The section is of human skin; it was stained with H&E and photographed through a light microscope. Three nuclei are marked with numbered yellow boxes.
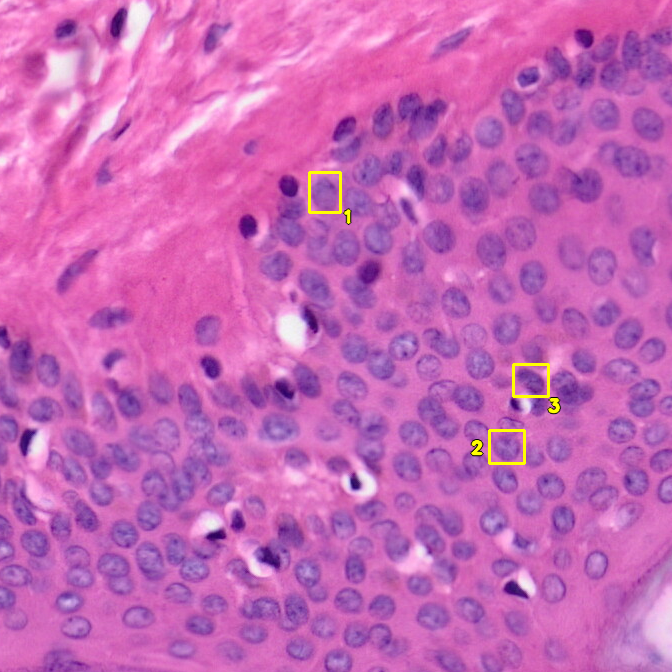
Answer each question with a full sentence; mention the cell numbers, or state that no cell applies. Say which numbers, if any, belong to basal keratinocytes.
The numbers 1 and 3 in this section indicate basal keratinocytes.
